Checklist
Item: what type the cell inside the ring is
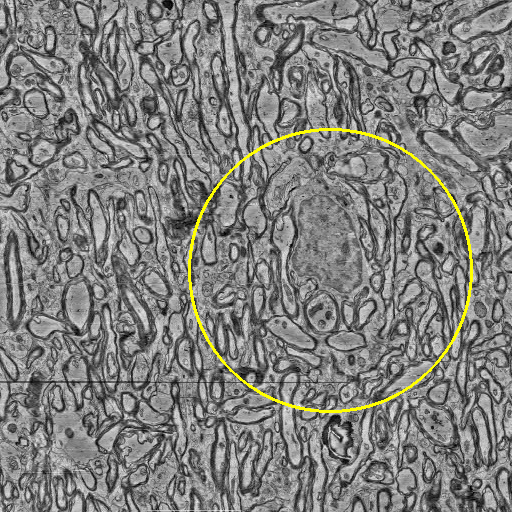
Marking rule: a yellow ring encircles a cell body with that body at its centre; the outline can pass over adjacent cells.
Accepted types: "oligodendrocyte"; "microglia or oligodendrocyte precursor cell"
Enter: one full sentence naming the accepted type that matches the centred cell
The entry is that an oligodendrocyte lies at the centre of the yellow ring.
